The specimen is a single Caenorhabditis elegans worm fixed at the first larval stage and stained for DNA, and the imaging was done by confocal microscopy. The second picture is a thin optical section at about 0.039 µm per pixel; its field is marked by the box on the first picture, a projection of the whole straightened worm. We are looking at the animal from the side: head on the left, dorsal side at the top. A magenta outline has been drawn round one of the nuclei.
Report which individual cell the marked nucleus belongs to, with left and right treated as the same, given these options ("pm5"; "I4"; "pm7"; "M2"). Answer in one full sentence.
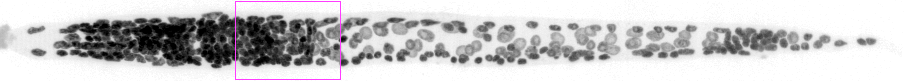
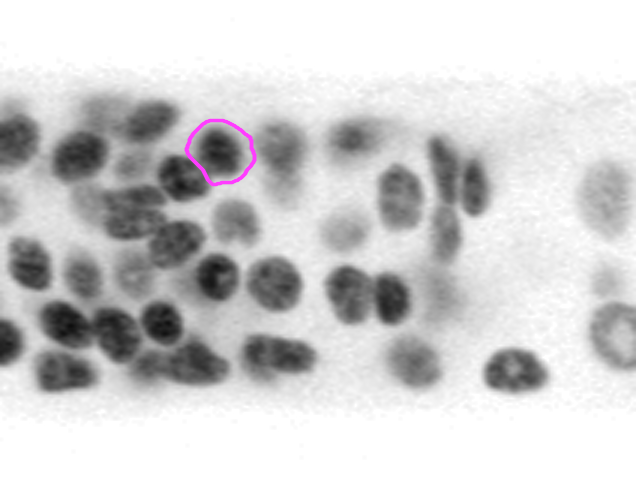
The nucleus is from I4, a neuron.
